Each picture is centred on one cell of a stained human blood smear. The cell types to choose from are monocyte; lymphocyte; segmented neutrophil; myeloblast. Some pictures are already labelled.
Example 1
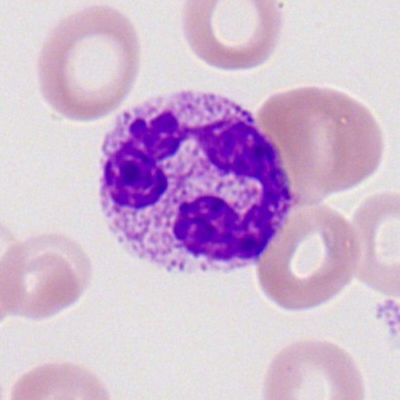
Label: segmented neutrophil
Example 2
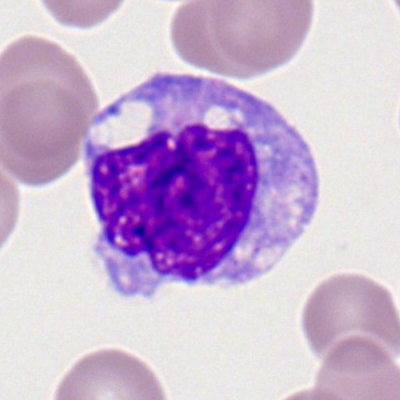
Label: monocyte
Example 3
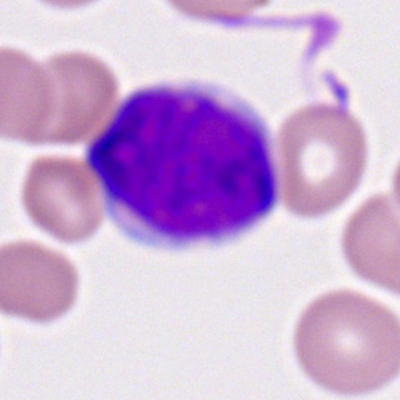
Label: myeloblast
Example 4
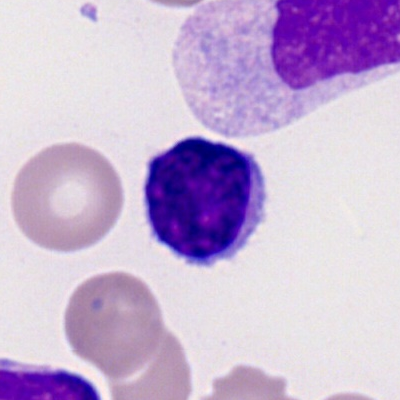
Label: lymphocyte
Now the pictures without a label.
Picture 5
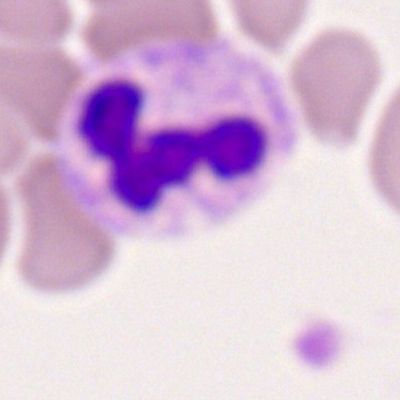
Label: segmented neutrophil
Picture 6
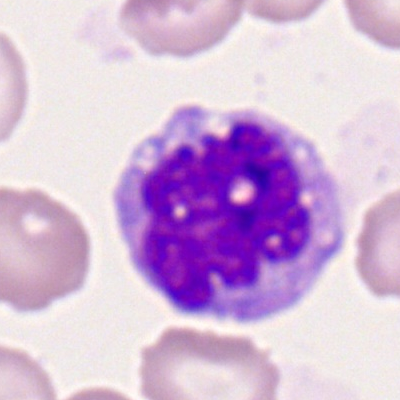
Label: monocyte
